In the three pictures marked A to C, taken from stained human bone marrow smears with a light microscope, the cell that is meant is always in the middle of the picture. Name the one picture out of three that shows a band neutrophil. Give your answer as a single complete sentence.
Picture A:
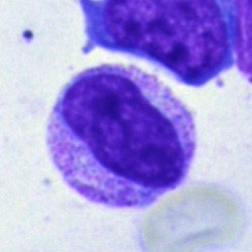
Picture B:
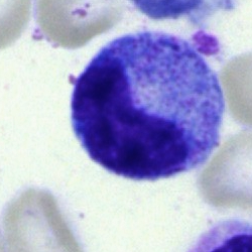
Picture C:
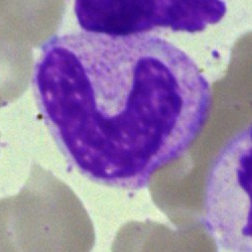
Picture C shows the band neutrophil.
